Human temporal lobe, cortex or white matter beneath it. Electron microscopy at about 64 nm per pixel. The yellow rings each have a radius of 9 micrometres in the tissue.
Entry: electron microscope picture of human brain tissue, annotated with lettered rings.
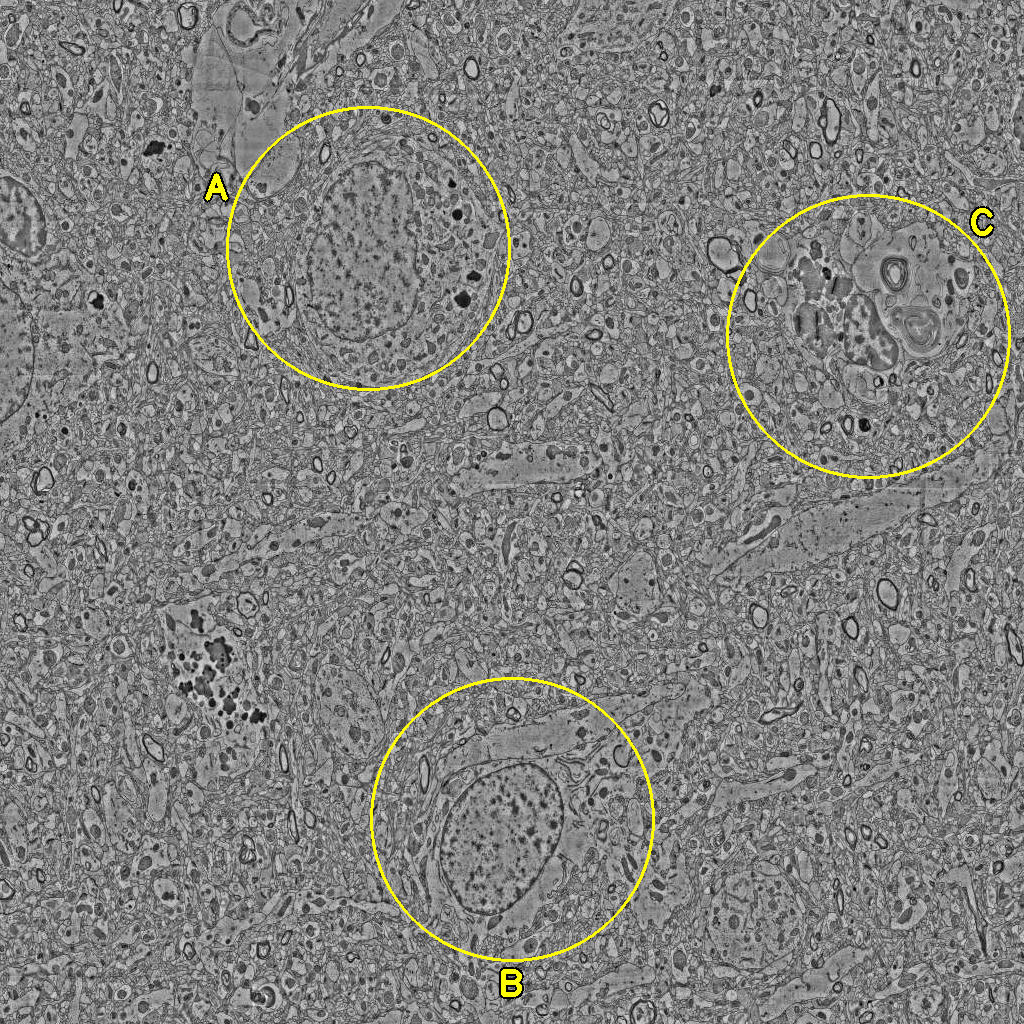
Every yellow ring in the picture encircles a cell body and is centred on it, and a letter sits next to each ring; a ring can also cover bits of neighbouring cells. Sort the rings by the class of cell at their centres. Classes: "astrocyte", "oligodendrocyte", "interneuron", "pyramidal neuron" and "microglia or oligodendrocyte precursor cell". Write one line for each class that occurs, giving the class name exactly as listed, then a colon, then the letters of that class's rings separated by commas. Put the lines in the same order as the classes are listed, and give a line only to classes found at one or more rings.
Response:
astrocyte: B
interneuron: A
microglia or oligodendrocyte precursor cell: C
